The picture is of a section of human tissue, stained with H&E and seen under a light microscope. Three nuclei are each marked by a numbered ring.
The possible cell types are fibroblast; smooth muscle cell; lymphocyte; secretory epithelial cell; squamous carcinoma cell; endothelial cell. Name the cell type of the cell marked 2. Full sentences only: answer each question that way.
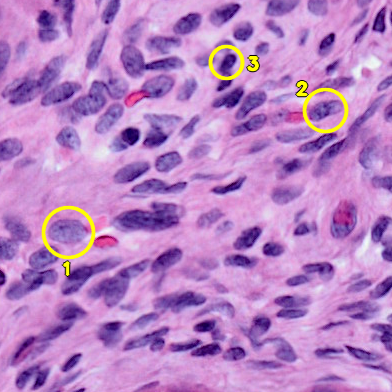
The cell assigned the number 2 is an endothelial cell.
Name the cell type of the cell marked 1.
Number 1 among the marked cells is an endothelial cell.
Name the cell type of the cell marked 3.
Regarding cell 3, this one is a fibroblast.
